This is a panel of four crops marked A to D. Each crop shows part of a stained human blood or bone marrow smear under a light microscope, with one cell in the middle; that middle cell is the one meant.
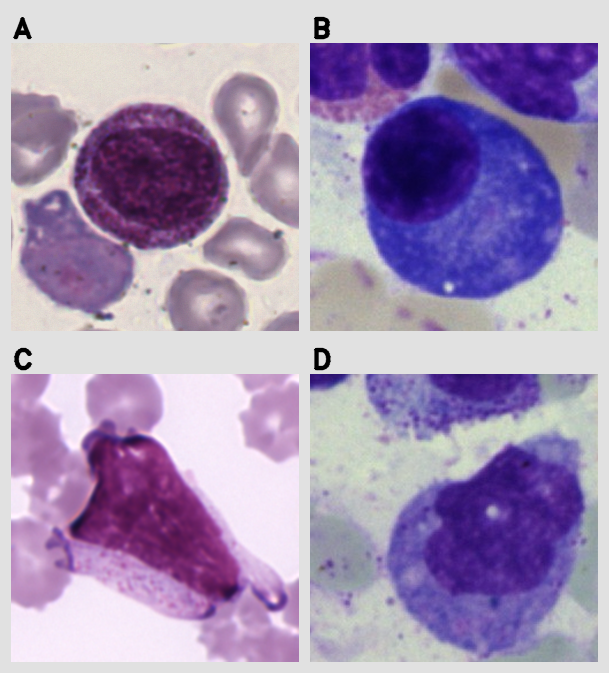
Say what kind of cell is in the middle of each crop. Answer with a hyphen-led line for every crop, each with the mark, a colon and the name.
- A: myelocyte
- B: plasma cell
- C: myelocyte
- D: monocyte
